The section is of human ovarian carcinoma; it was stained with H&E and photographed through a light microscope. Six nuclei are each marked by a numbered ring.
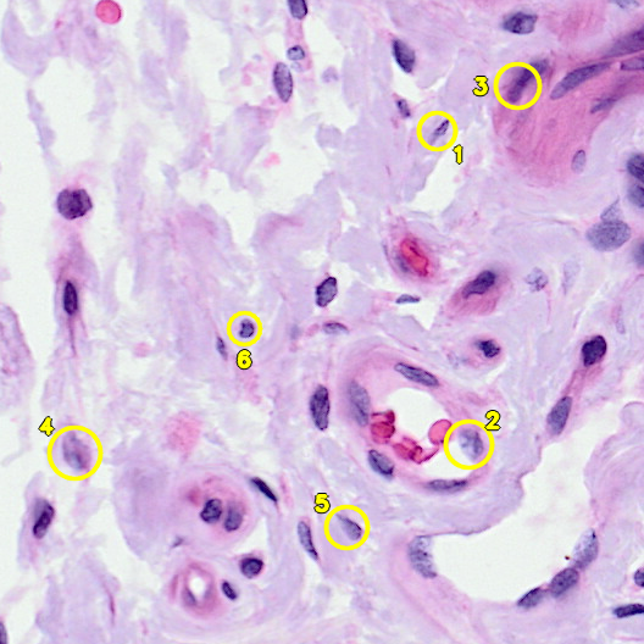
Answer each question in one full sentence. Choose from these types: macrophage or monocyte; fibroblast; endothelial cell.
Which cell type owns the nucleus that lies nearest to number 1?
The nucleus nearest to number 1 is that of a macrophage or monocyte.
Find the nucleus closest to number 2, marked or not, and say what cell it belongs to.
Closest to number 2 lies the nucleus of an endothelial cell.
